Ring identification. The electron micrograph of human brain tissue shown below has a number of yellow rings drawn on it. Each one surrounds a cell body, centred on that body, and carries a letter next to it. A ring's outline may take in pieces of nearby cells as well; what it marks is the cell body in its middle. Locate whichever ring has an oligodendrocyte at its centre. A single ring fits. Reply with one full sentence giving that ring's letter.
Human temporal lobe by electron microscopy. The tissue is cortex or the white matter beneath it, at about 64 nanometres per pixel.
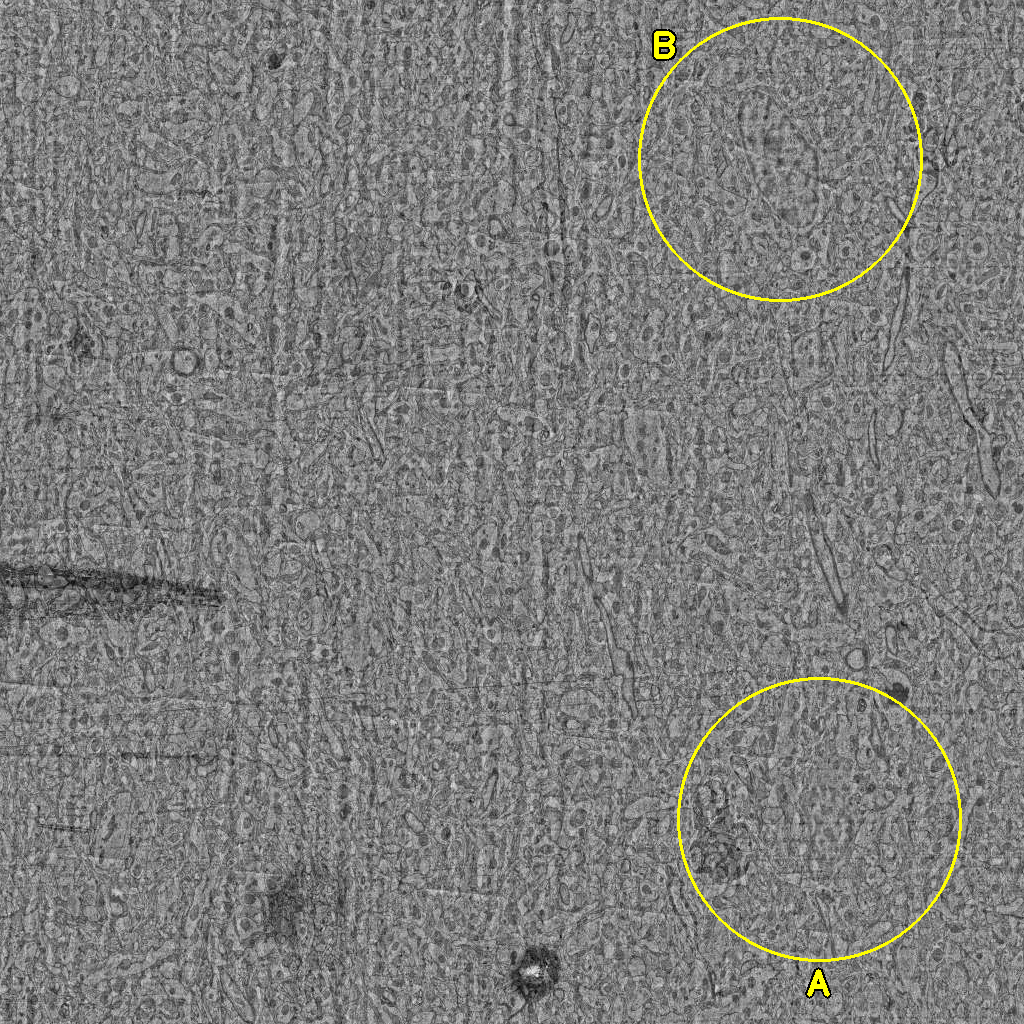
The letter A belongs to the ring centred on a cell of that kind.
